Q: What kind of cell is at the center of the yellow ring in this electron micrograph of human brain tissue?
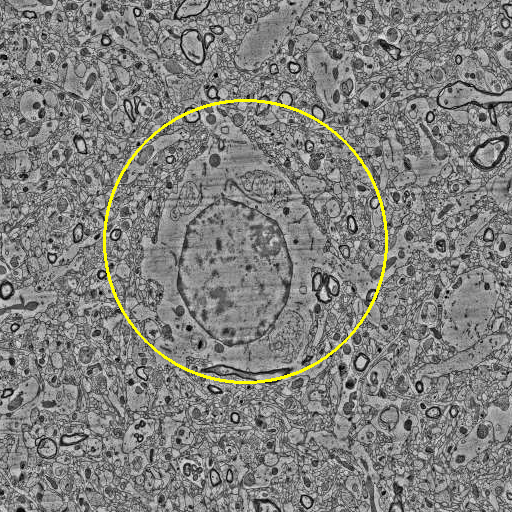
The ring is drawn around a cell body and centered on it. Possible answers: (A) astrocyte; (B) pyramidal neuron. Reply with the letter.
A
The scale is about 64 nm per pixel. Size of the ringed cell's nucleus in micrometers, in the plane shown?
In this plane, approximately 9 by 7 micrometers.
